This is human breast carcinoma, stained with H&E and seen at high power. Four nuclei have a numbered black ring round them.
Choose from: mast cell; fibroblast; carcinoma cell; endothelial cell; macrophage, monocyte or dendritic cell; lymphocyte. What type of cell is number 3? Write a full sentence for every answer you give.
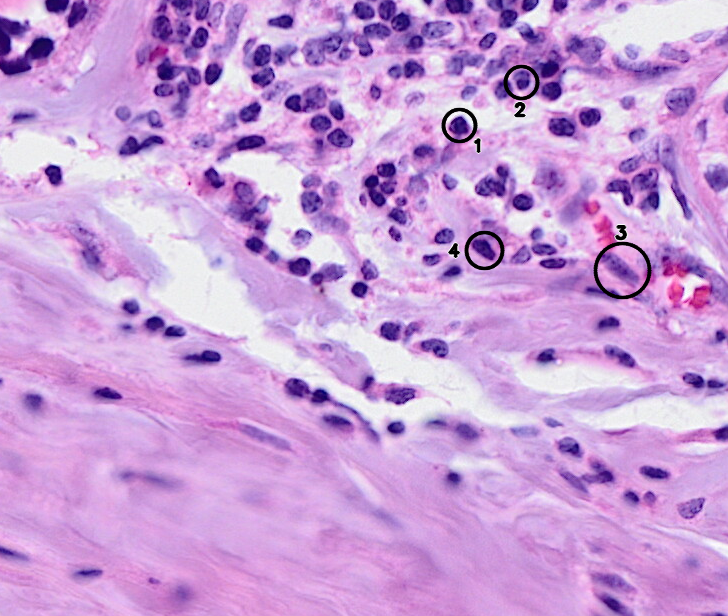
In this section, the cell numbered 3 is an endothelial cell.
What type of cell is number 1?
The cell carrying label 1 is identified as a lymphocyte.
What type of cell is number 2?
The marked cell bearing number 2 is a lymphocyte.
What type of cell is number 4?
The cell marked with the number 4 is a lymphocyte.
